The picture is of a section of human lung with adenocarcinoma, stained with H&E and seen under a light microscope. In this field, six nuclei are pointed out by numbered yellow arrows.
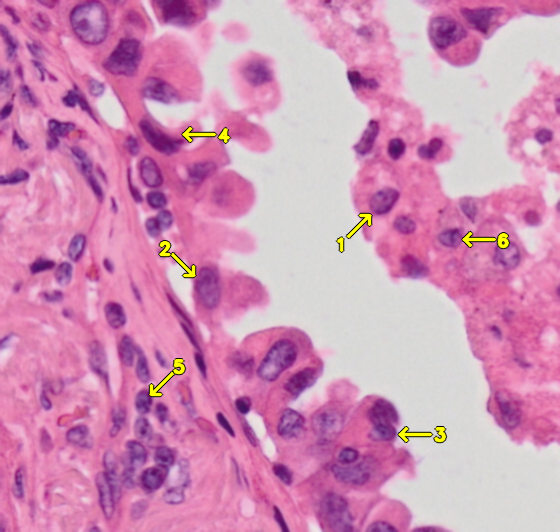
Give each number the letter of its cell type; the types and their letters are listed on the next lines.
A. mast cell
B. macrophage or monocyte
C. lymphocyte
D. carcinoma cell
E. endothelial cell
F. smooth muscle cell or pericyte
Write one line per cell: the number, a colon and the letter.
1: B
2: D
3: D
4: D
5: C
6: B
